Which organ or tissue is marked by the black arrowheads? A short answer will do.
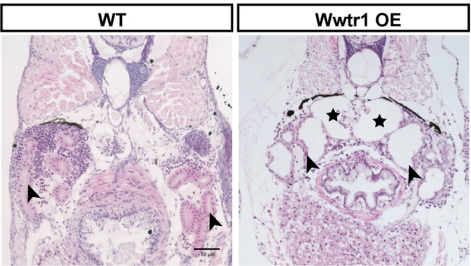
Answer: pronephric tubule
